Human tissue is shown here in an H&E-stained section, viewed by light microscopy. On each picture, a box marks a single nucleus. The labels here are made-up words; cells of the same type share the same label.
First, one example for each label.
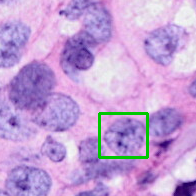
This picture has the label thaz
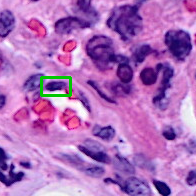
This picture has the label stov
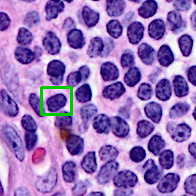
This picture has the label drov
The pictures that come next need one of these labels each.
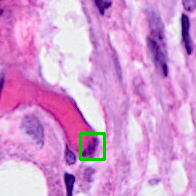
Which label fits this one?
stov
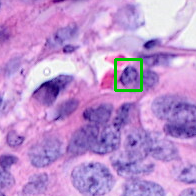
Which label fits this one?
stov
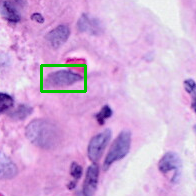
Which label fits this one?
stov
